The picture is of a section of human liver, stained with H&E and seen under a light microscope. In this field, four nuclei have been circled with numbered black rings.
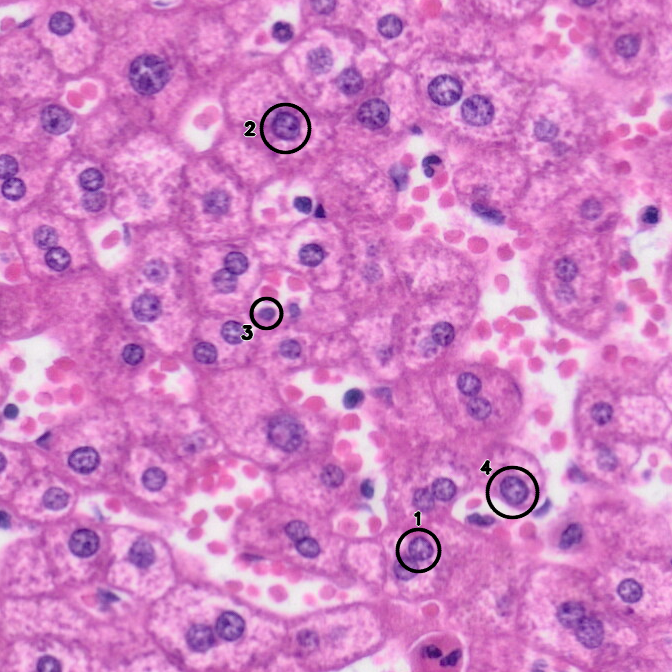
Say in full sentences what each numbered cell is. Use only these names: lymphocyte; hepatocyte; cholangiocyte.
Cell 1 is a hepatocyte, cell 2 is a hepatocyte, cell 3 is a lymphocyte and cell 4 is a hepatocyte.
